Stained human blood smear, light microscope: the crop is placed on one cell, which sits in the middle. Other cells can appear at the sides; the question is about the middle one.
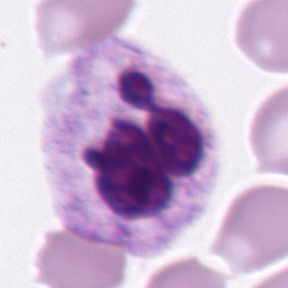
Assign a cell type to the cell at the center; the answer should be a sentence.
The cell found in the middle of this crop is a neutrophil.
